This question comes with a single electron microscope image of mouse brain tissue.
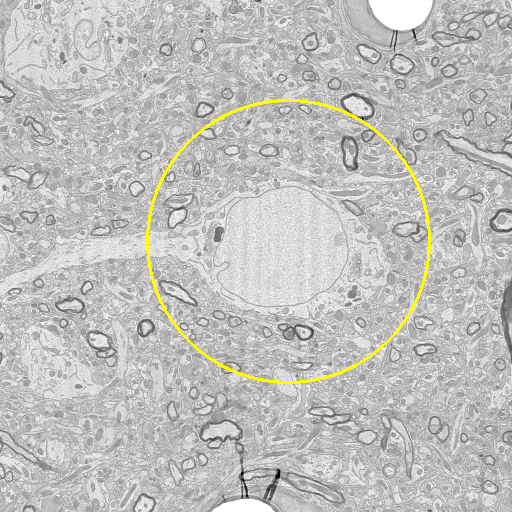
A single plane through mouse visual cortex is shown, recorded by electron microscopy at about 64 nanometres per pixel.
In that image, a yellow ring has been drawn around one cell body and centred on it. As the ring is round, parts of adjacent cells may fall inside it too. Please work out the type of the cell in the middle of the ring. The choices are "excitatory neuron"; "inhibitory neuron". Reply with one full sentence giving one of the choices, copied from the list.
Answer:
Of the choices, an excitatory neuron is the cell sitting in the middle of the ring.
